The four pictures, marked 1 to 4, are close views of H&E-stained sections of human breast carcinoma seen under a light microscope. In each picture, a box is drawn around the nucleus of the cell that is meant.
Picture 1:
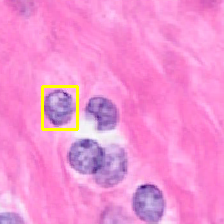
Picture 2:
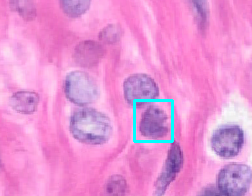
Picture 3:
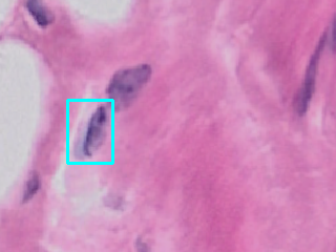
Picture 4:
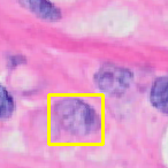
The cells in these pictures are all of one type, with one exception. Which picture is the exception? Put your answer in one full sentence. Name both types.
Picture 3 is the odd one out: it shows a fibroblast, while the others show carcinoma cells.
